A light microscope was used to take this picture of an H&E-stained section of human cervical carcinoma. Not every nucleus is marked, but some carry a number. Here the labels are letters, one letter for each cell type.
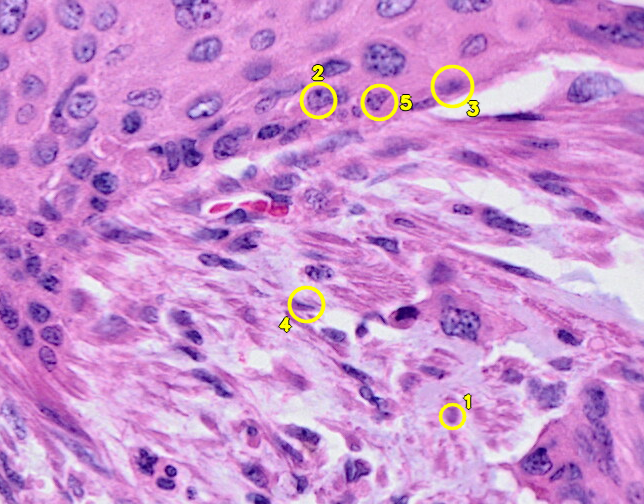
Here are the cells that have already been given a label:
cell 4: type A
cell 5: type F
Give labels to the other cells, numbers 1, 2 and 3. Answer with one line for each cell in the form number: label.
1: type A
2: type F
3: type F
